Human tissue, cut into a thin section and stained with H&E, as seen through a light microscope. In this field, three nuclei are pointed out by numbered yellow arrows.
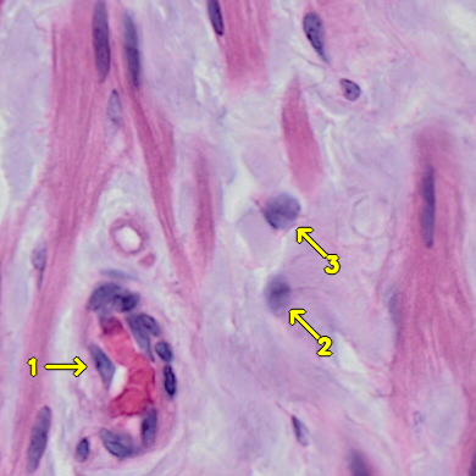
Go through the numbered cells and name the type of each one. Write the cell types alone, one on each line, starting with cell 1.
endothelial cell
fibroblast
fibroblast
